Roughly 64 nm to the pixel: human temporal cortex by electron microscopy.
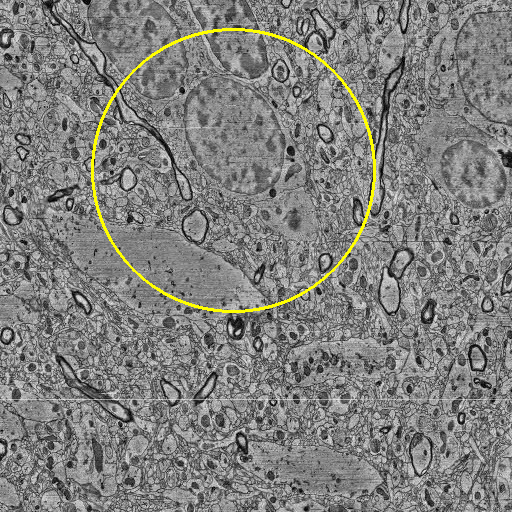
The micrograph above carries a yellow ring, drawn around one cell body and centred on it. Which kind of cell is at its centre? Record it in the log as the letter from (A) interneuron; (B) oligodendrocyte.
B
